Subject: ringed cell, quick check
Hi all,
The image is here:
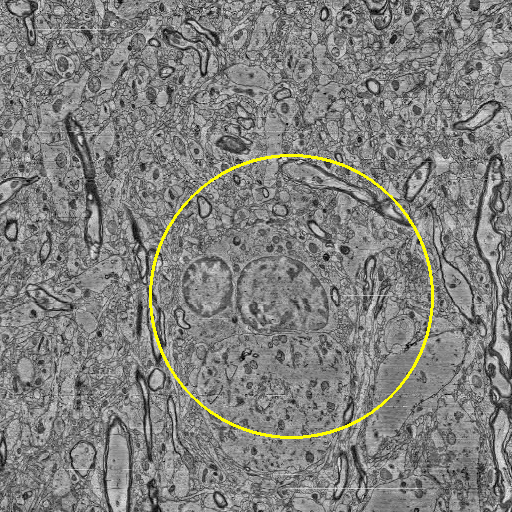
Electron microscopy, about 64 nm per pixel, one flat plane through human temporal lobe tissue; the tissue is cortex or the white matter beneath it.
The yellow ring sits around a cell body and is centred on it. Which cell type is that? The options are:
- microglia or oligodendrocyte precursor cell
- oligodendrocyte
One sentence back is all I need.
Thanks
That ringed cell is an oligodendrocyte.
